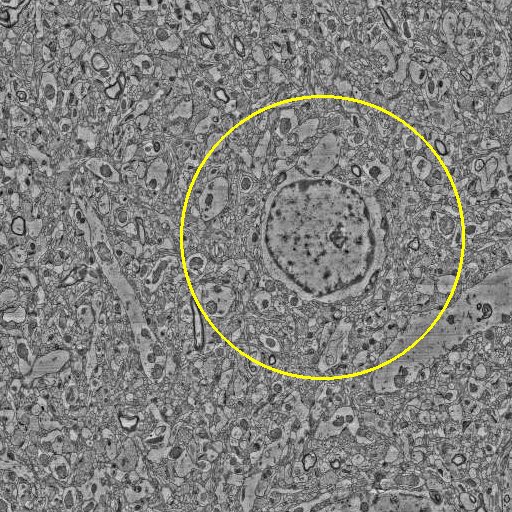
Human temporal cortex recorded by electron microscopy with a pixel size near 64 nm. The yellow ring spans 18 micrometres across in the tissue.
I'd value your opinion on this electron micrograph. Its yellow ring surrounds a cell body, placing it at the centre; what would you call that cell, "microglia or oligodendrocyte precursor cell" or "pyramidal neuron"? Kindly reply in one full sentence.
It is a microglial cell or oligodendrocyte precursor cell that sits centred within the yellow ring in this micrograph.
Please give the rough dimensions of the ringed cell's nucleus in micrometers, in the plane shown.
The nucleus of the ringed cell is approximately 7 micrometres across in this plane.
